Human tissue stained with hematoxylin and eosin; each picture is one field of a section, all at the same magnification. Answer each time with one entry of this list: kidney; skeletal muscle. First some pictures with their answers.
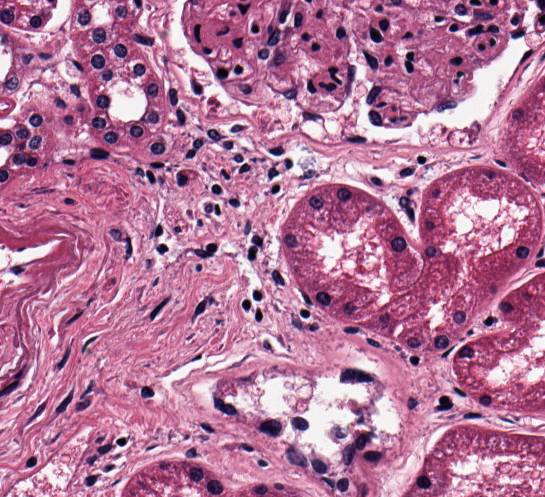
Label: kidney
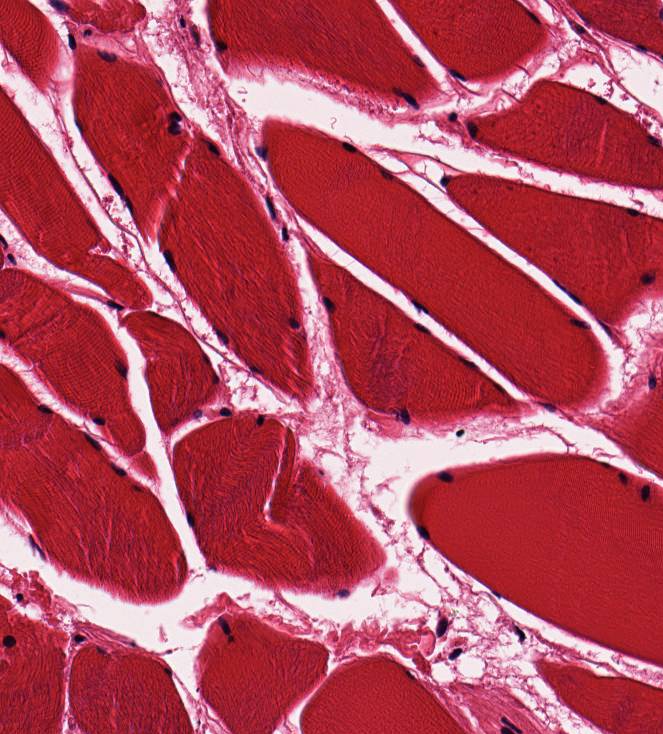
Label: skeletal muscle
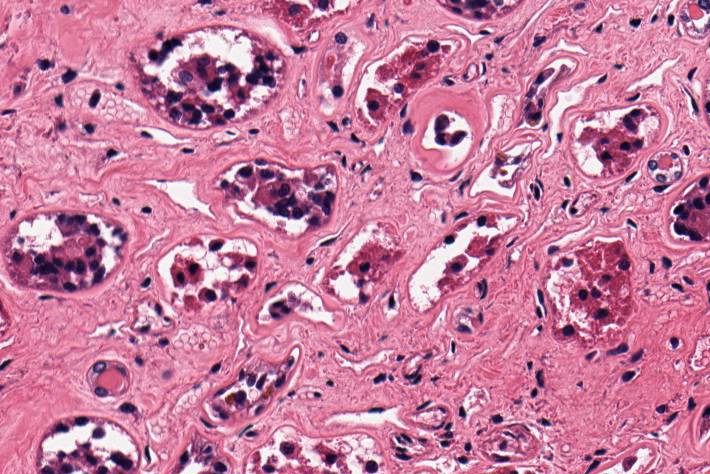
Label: kidney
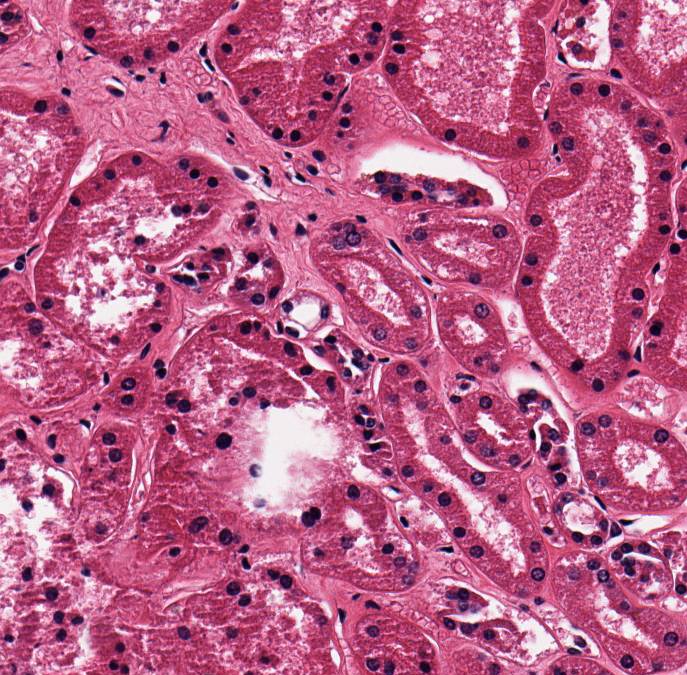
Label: kidney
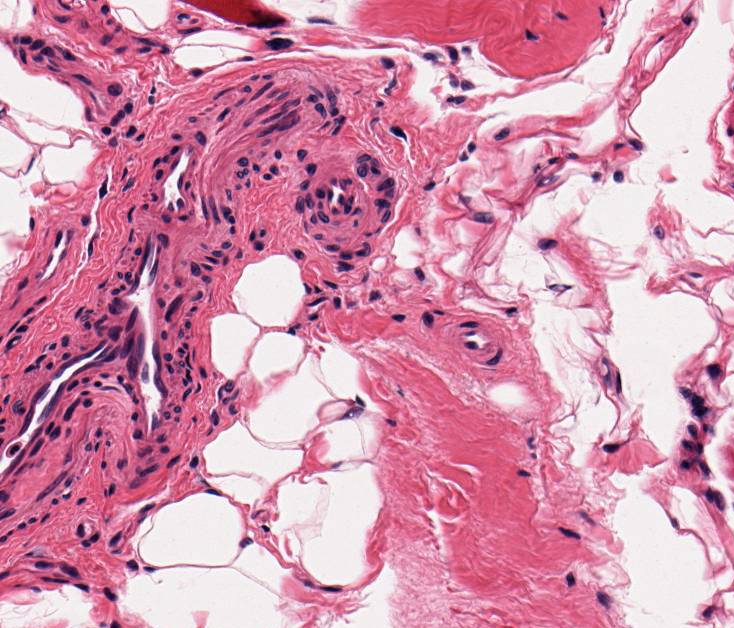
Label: skeletal muscle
